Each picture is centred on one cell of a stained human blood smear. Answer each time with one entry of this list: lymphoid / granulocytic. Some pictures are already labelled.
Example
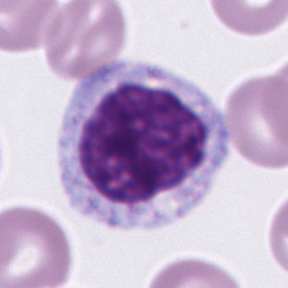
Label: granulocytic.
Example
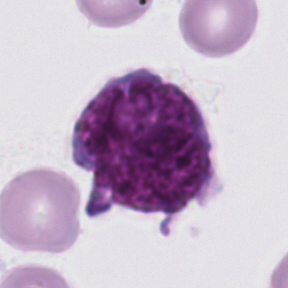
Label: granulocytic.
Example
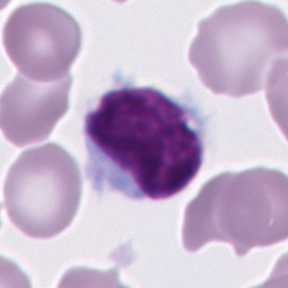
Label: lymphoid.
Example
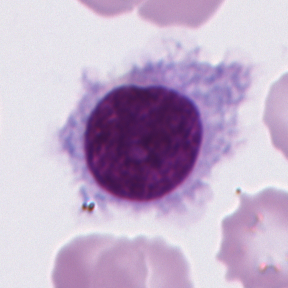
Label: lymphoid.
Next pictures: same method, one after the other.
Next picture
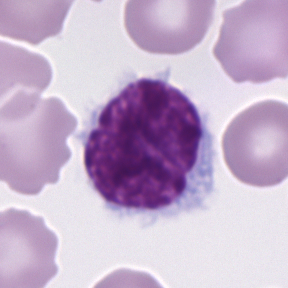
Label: lymphoid.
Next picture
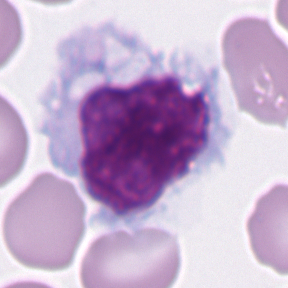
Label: lymphoid.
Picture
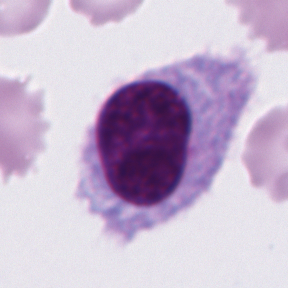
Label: lymphoid.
